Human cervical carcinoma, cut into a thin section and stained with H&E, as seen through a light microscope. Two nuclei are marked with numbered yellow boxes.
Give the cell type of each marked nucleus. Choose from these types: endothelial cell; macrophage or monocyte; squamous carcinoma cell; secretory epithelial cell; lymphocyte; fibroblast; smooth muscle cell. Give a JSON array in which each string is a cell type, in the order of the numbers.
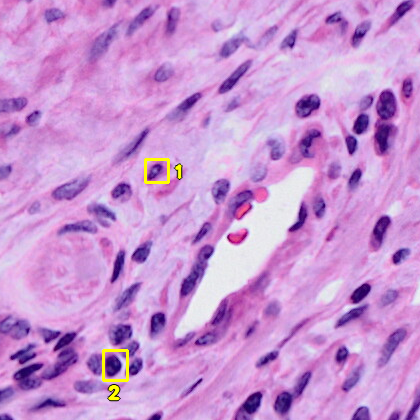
["smooth muscle cell", "lymphocyte"]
